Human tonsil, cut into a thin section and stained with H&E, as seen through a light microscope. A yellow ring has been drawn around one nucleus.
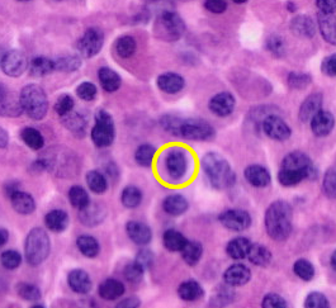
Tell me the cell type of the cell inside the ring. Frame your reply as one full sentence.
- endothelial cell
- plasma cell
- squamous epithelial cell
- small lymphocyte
On this particular slide, the cell inside the ring is a plasma cell.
